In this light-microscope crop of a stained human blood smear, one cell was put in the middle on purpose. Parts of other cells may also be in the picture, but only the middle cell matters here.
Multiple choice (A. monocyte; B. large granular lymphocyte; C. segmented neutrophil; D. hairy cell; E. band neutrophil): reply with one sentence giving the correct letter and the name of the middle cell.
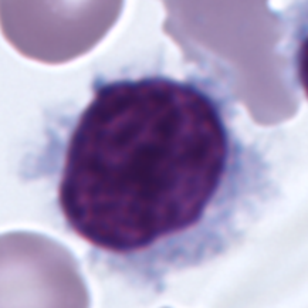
At the centre of the crop lies a hairy cell, which makes option D correct.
